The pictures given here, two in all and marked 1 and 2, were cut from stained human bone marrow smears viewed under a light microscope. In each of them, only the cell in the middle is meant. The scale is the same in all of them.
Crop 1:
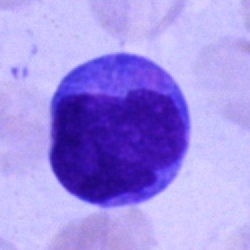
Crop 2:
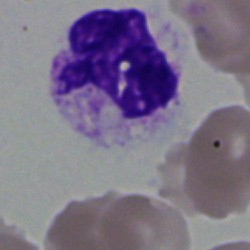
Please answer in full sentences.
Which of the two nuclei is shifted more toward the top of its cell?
It is the nucleus in crop 2 that lies further toward the top of its cell.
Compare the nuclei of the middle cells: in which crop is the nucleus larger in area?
Crop 1 shows the larger nucleus; it covers about 1.5 times the area of the nucleus in crop 2.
